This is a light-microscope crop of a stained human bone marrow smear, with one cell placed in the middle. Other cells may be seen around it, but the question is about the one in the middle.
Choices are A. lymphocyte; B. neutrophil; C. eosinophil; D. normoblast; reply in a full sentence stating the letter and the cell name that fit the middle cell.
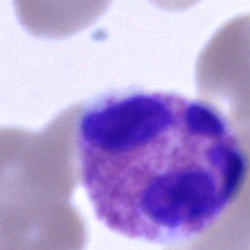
The right choice is option C: the cell in the middle is an eosinophil.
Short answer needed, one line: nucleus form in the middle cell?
You can count two or more lobes in this nucleus.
